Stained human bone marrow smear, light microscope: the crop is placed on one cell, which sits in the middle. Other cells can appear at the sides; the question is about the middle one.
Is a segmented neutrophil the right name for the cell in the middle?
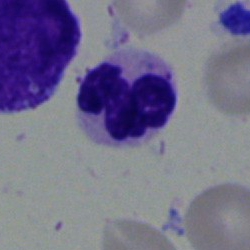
yes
